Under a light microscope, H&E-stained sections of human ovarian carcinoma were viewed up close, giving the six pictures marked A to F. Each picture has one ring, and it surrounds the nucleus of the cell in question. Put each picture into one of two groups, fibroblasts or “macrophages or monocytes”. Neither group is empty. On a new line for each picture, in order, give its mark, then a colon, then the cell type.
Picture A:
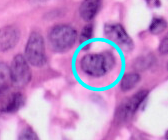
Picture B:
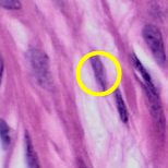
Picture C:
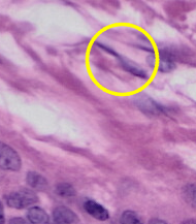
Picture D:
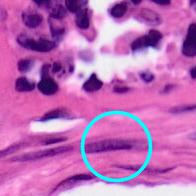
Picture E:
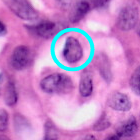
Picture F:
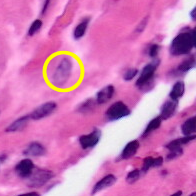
A: macrophage or monocyte
B: fibroblast
C: fibroblast
D: fibroblast
E: macrophage or monocyte
F: fibroblast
